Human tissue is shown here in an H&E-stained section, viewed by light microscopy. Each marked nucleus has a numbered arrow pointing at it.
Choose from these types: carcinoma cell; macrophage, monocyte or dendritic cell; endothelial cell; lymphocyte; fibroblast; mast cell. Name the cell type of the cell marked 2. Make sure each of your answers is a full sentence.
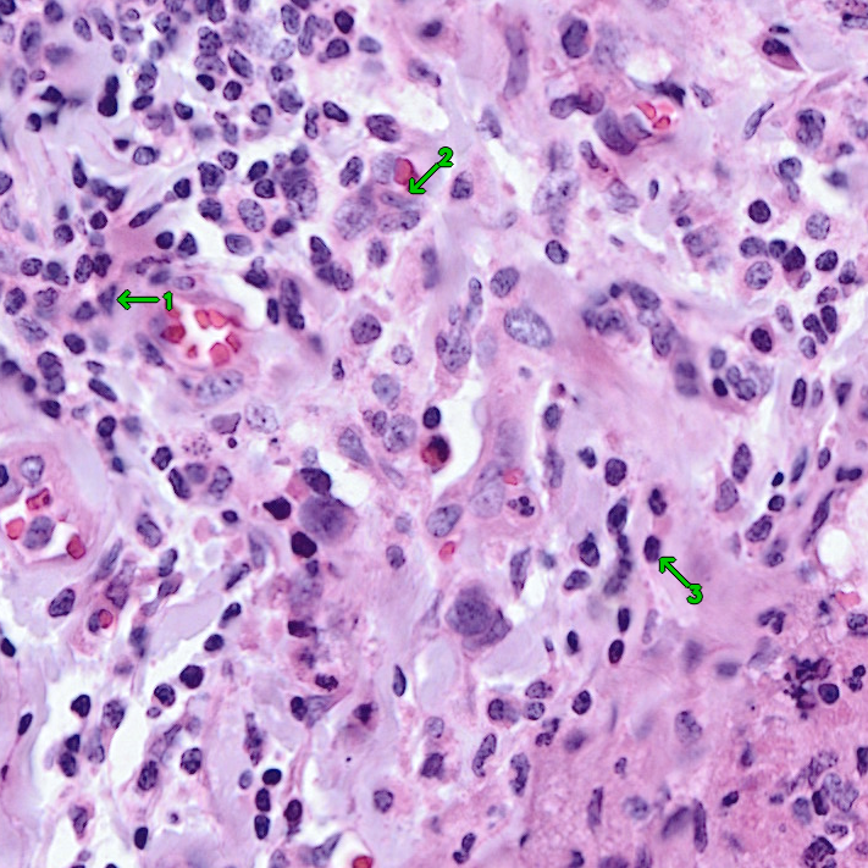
Marked with the number 2, this cell is an endothelial cell.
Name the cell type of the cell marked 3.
Denoted by the label 3 in the section is a lymphocyte.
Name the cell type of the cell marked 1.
Classified as a lymphocyte is the cell with the number 1.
